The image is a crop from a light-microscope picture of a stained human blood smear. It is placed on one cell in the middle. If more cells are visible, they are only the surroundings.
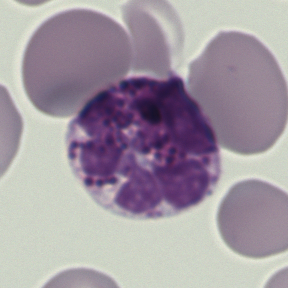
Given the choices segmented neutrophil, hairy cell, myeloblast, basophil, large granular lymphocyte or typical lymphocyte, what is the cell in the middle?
basophil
